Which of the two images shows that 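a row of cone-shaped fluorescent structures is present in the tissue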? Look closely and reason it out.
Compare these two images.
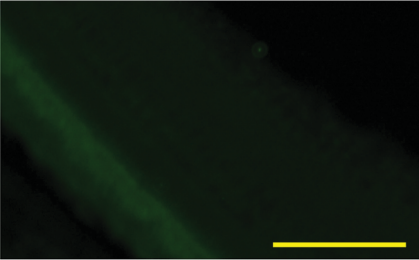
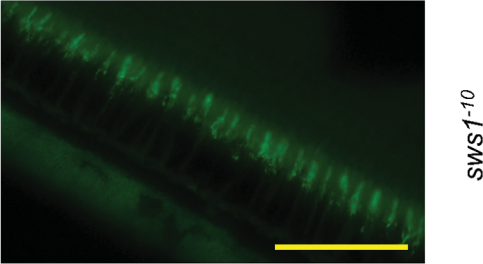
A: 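First image: only faint diffuse green background, no discrete cone-shaped profiles. Second image: a regular row of bright green elongated cone-shaped profiles along one band. So: the second image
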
